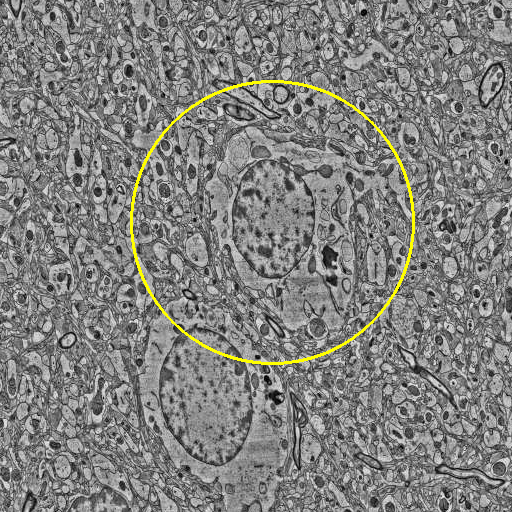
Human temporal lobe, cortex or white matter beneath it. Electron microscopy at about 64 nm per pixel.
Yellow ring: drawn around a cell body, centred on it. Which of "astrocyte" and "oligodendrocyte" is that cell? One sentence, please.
That cell body is from an astrocyte.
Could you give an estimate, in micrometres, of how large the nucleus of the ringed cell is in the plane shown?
The nucleus has a long axis of about 8 micrometres and a short axis of about 5 micrometres in this plane.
